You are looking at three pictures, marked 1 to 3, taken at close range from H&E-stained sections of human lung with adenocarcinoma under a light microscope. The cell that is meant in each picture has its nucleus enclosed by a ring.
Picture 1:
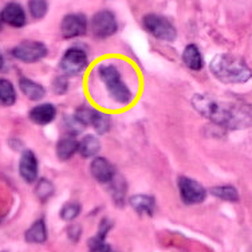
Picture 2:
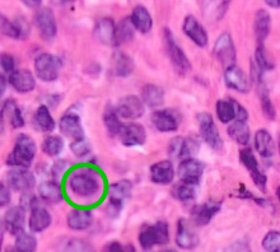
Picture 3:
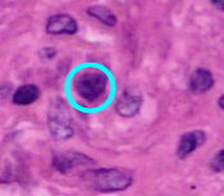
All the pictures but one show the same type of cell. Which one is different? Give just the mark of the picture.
3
